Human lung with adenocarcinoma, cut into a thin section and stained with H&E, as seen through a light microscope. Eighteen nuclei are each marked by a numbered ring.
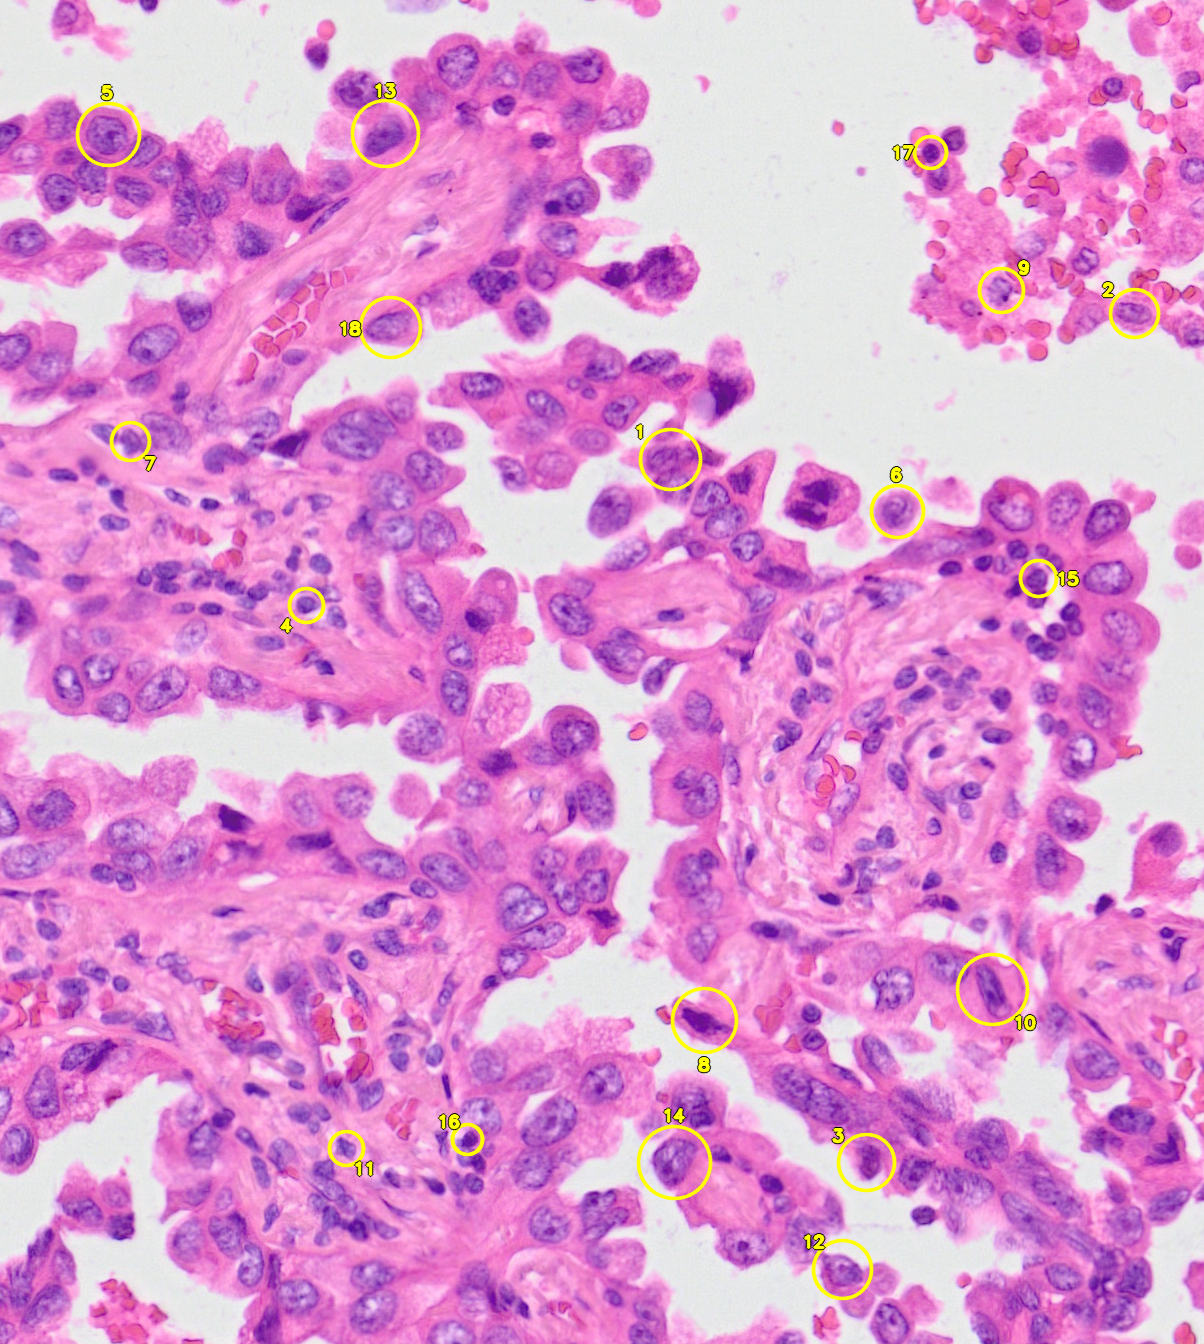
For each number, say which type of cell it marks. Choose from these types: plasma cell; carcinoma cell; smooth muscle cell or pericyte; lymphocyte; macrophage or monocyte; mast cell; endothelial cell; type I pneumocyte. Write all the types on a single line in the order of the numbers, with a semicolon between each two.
carcinoma cell; macrophage or monocyte; carcinoma cell; lymphocyte; carcinoma cell; carcinoma cell; lymphocyte; carcinoma cell; macrophage or monocyte; carcinoma cell; lymphocyte; carcinoma cell; carcinoma cell; carcinoma cell; lymphocyte; lymphocyte; lymphocyte; carcinoma cell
